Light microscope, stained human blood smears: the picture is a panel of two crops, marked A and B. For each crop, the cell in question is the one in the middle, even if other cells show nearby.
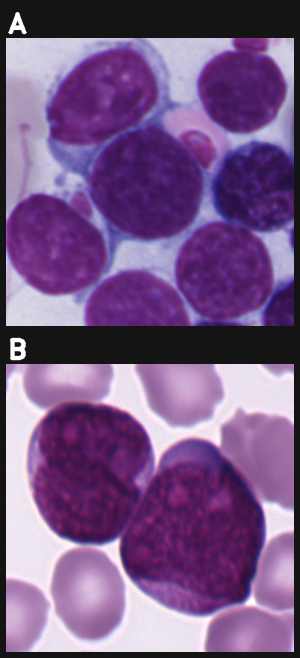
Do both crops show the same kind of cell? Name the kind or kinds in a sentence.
Yes, as an answer for this item, both crops show myeloblasts.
